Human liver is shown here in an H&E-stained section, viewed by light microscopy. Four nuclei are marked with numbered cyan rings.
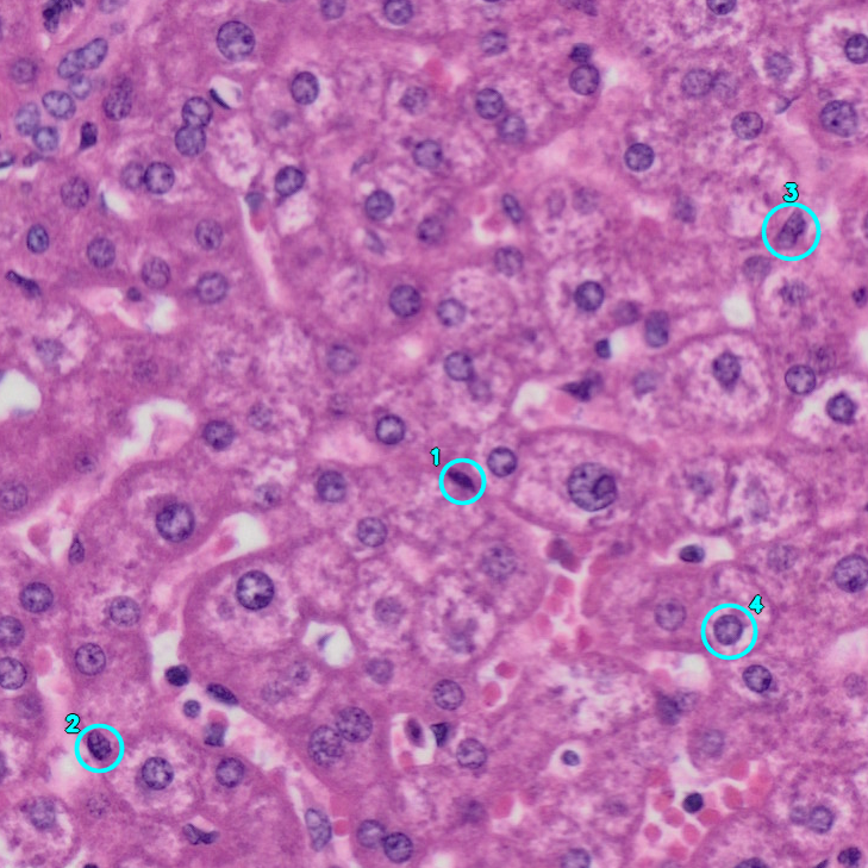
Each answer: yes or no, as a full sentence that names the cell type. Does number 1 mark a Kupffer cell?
No, number 1 identifies a fibroblast or stellate cell, not a Kupffer cell.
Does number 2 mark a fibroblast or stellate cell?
Yes, that one, number 2, is a fibroblast or stellate cell.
